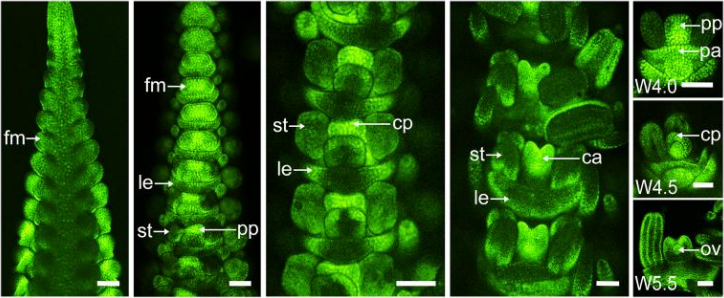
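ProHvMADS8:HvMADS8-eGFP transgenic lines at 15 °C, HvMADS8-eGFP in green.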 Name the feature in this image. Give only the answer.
Spikes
